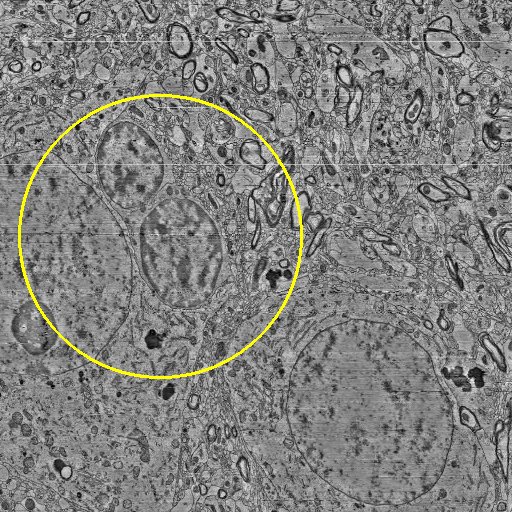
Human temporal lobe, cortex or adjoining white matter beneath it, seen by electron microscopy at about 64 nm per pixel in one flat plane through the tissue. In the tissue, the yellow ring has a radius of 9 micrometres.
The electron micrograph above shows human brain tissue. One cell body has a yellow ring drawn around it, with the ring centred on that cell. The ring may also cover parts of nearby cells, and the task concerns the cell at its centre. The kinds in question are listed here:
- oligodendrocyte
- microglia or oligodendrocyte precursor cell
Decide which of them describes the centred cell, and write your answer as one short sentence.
The centred cell is an oligodendrocyte.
